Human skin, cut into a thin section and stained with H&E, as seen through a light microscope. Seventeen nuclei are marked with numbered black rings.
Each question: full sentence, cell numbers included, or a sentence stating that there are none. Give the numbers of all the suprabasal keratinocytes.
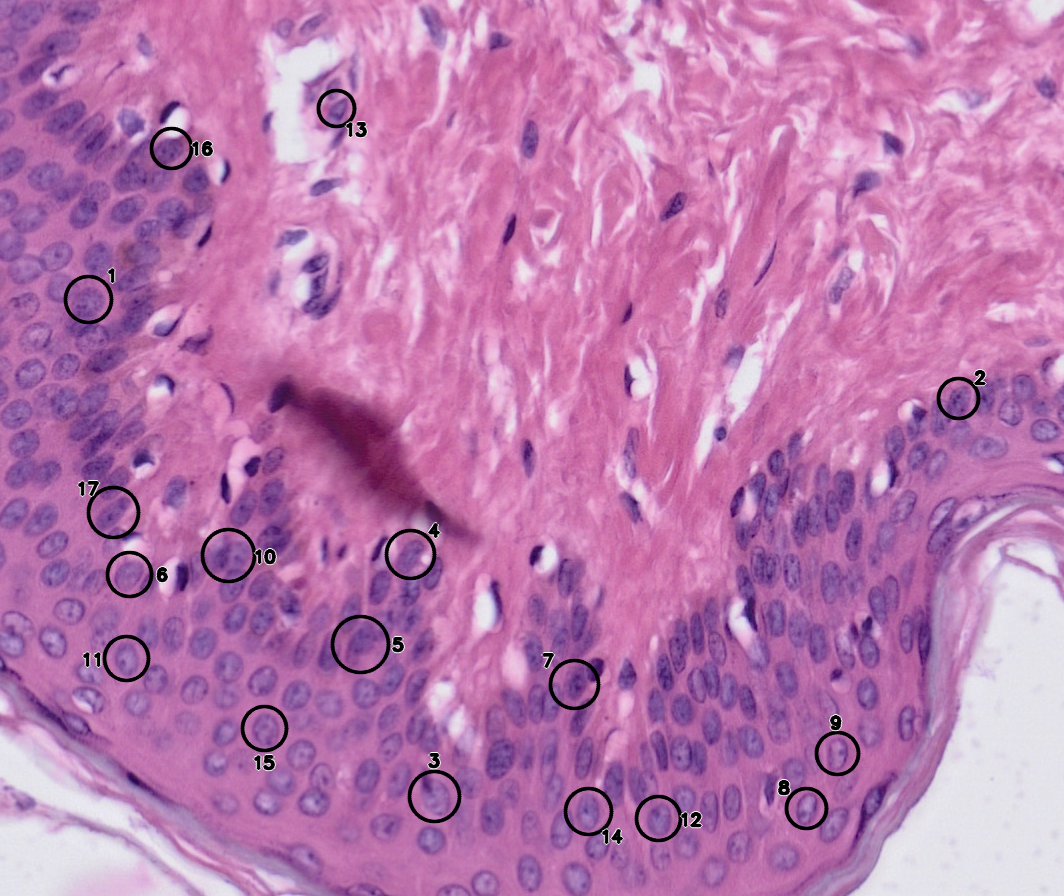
The cells 1, 3, 8, 9, 11, 12, 14 and 15 in this section are suprabasal keratinocytes.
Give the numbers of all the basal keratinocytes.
Into the category of basal keratinocytes fall the cells numbered 2, 4, 5, 6, 7, 10, 16 and 17.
